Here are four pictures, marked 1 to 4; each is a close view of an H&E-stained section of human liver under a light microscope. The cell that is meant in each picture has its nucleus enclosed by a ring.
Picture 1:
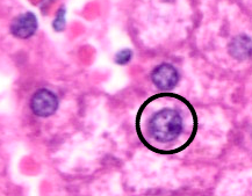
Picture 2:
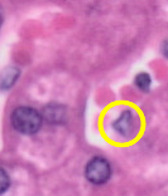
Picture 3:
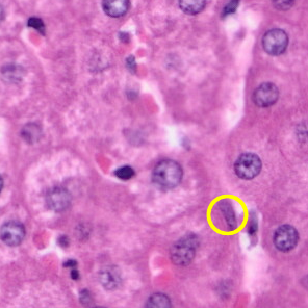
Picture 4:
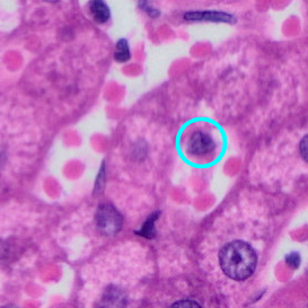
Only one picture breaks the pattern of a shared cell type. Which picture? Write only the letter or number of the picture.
1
